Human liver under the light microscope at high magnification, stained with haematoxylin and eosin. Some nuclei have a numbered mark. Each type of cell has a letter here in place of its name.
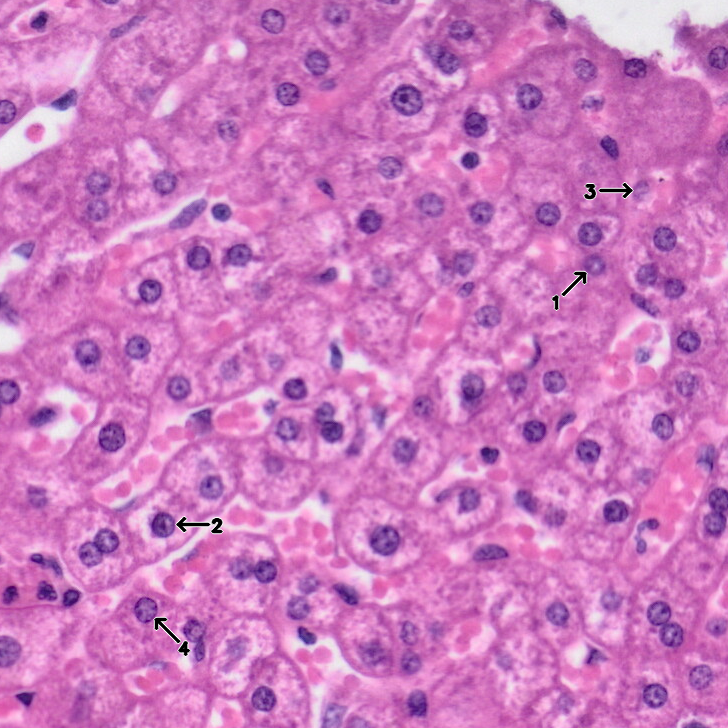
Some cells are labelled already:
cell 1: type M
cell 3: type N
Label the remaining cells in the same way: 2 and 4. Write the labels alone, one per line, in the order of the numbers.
type M
type M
